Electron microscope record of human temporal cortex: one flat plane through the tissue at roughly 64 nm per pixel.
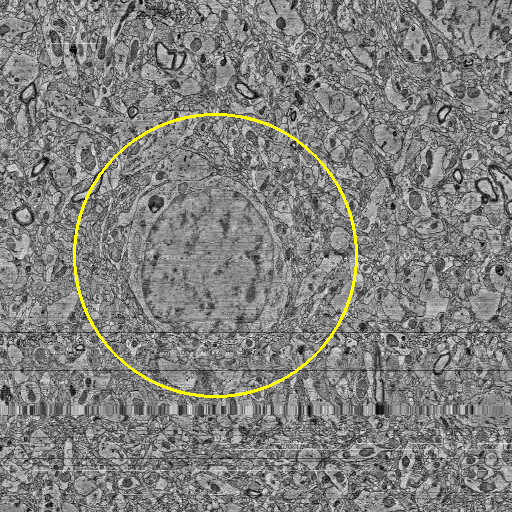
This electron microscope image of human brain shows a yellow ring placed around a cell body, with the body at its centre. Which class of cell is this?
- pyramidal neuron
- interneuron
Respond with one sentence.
The cell body at the ring's centre is an interneuron.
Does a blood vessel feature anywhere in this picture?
No, no vessel appears in the picture.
